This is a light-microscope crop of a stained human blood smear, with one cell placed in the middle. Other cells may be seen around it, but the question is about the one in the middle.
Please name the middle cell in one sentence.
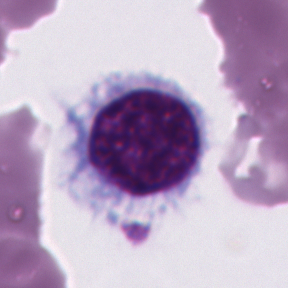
The central cell in this smear crop is a hairy cell.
